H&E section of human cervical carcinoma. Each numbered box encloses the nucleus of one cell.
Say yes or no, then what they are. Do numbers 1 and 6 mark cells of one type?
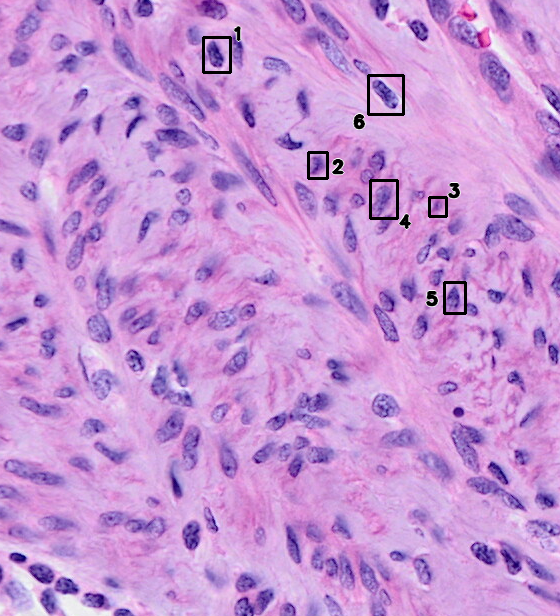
Yes, both are lymphocytes.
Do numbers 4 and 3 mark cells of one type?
Yes, both are smooth muscle cells.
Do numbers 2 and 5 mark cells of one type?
Yes, both are smooth muscle cells.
